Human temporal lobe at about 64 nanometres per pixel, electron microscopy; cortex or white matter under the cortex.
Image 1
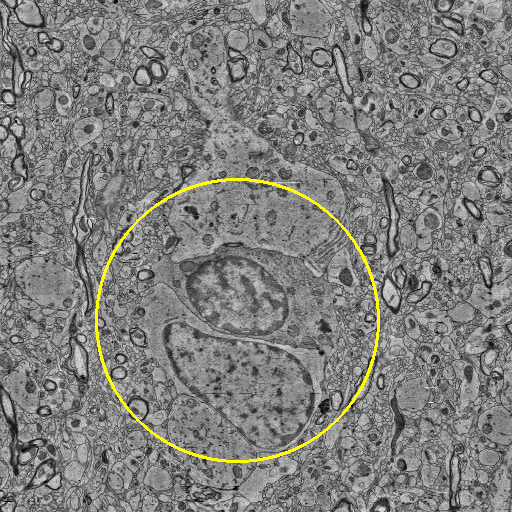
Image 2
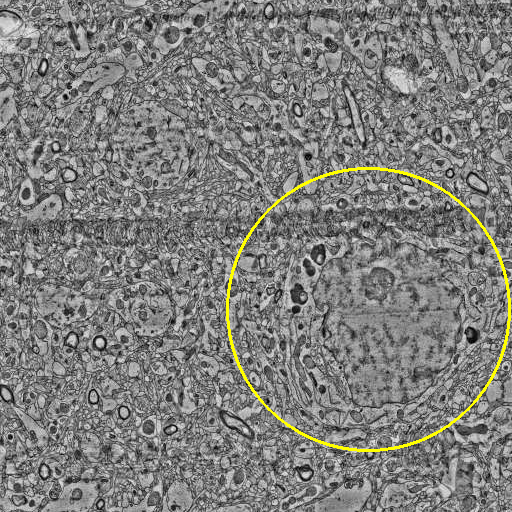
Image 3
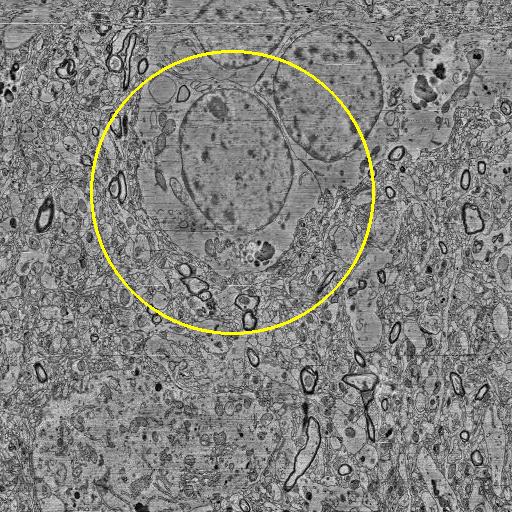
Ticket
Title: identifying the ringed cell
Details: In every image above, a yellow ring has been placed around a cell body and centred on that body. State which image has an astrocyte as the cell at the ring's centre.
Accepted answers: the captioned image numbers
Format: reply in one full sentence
The ring in image 3 is centred on the cell in question.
